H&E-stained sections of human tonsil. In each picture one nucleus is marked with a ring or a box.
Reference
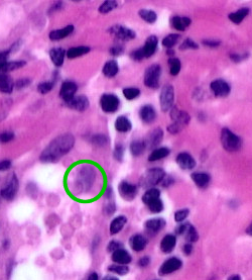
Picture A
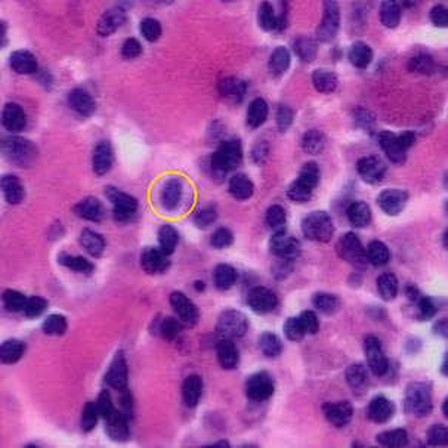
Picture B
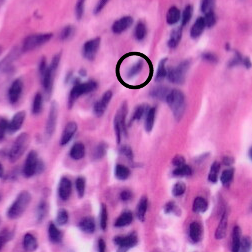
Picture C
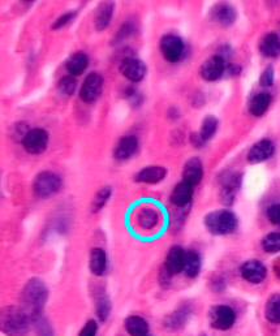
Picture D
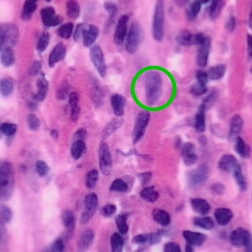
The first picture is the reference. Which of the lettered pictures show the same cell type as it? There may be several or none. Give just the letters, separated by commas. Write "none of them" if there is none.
D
